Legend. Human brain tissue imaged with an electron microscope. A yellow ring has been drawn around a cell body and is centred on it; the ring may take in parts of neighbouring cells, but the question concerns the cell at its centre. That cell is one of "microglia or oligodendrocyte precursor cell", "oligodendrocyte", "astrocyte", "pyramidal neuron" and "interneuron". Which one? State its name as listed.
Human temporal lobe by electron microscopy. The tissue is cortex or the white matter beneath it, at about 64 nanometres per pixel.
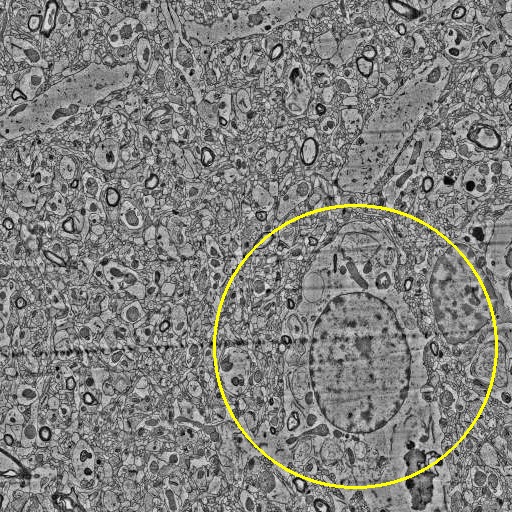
astrocyte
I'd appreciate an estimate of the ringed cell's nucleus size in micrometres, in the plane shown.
About 9 by 6 micrometres in this plane.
